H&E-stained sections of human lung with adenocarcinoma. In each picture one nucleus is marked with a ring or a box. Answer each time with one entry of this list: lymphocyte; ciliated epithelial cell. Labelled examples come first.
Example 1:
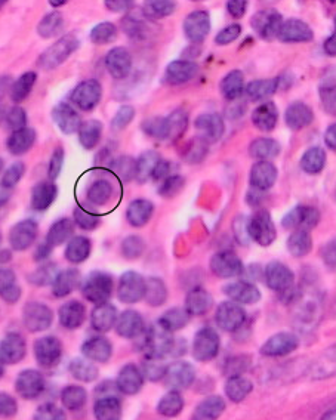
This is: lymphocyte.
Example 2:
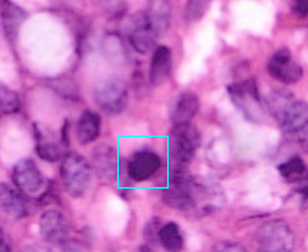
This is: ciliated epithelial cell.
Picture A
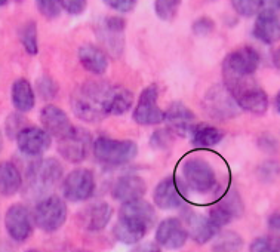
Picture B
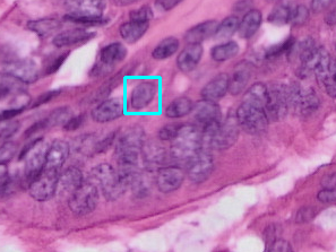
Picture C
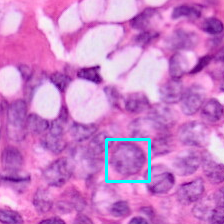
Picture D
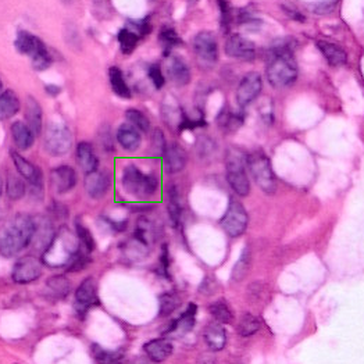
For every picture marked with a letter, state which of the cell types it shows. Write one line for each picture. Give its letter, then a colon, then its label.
A: lymphocyte.
B: ciliated epithelial cell.
C: ciliated epithelial cell.
D: ciliated epithelial cell.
